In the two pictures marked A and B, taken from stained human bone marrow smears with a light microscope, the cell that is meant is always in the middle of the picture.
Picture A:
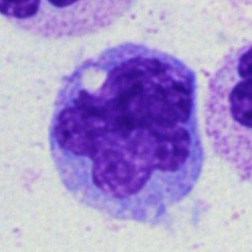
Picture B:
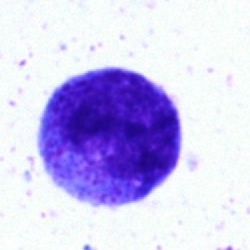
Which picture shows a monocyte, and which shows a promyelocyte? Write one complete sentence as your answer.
It is picture A that shows a monocyte, and picture B that shows a promyelocyte.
